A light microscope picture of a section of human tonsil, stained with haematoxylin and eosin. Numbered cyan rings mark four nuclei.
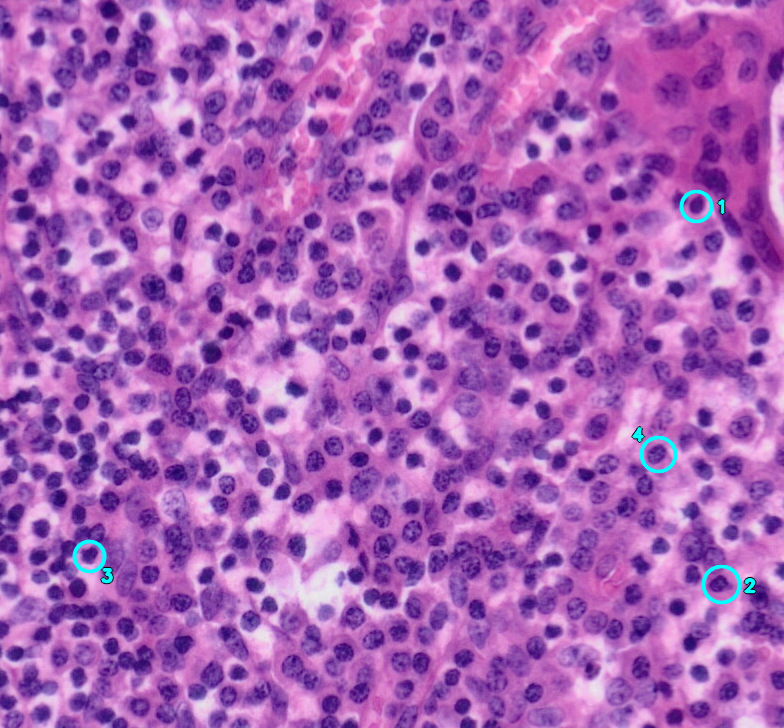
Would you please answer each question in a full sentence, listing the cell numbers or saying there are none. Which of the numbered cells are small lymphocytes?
Of the cells bearing numbers, the only one that is a small lymphocyte is cell 3.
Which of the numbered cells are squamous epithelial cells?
Nothing but cell 1 is a squamous epithelial cell among the numbered ones.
